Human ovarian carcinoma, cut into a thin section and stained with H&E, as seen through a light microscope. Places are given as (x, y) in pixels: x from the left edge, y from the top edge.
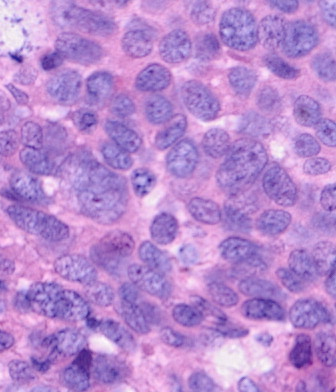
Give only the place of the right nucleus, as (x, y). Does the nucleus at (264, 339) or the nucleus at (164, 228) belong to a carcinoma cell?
(164, 228)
